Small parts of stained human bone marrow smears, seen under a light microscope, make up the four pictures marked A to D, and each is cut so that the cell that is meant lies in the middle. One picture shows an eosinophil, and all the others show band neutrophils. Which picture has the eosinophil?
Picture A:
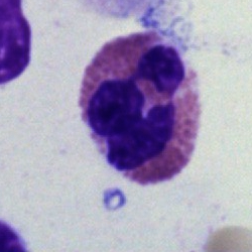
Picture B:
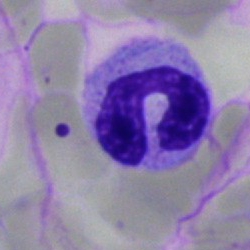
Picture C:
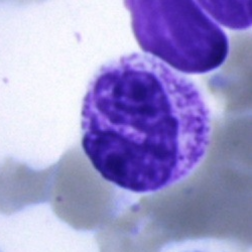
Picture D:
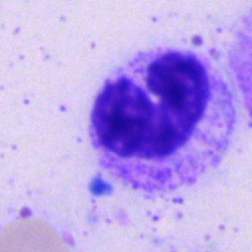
A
